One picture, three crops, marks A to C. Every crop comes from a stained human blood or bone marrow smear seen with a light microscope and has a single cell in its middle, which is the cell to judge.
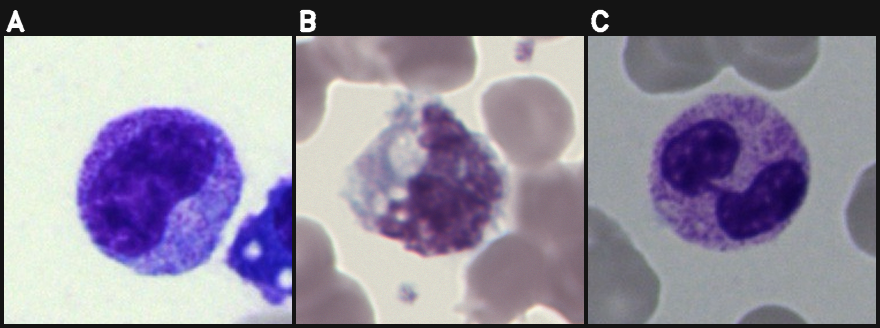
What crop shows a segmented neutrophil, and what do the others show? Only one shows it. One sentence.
Crop C contains a segmented neutrophil; meanwhile, crop A is a metamyelocyte and crop B is a monocyte.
